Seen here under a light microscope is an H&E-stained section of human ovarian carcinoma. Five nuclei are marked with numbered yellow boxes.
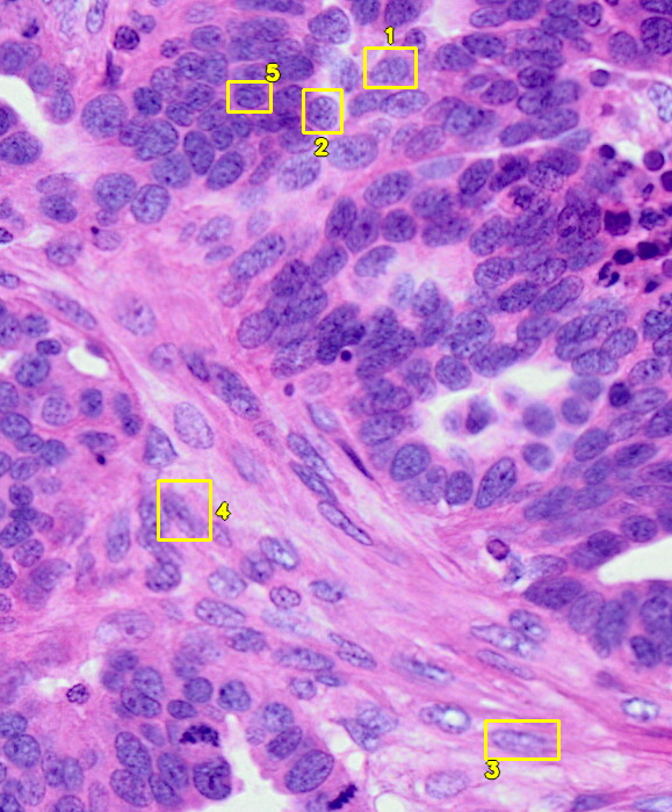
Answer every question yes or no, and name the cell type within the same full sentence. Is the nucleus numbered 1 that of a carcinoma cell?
Yes, the cell corresponding to number 1 is a carcinoma cell.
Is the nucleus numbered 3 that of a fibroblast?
Yes, cell number 3 in this section is a fibroblast.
